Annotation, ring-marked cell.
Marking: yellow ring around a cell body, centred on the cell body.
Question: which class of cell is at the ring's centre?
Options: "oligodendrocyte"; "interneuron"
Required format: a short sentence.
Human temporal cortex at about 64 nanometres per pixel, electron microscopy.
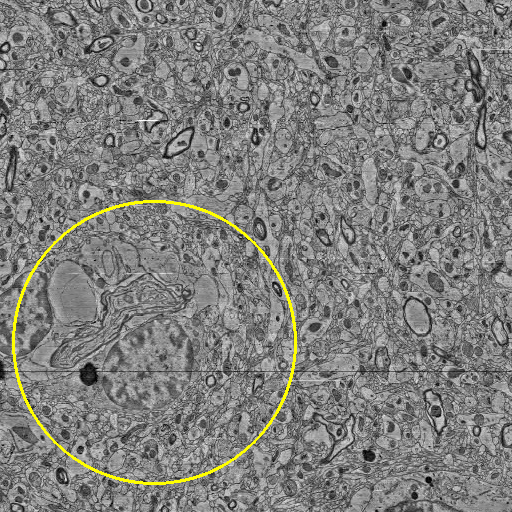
At the ring's centre is an oligodendrocyte.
